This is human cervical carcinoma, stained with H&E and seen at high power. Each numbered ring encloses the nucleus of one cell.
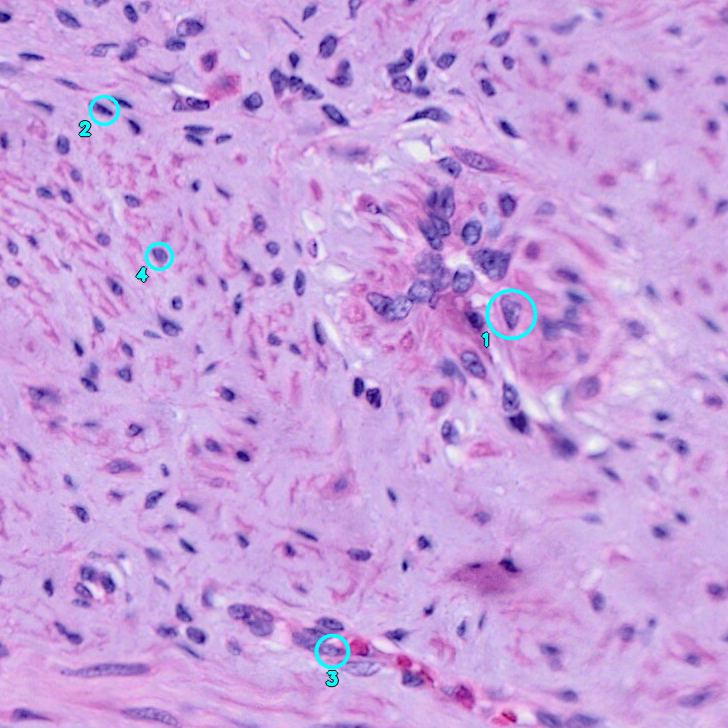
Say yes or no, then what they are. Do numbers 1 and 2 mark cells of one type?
No, that does not hold; cell 1 is an endothelial cell and cell 2 is a fibroblast.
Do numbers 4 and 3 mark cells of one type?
No, cell 3 is an endothelial cell, but cell 4 is a smooth muscle cell.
